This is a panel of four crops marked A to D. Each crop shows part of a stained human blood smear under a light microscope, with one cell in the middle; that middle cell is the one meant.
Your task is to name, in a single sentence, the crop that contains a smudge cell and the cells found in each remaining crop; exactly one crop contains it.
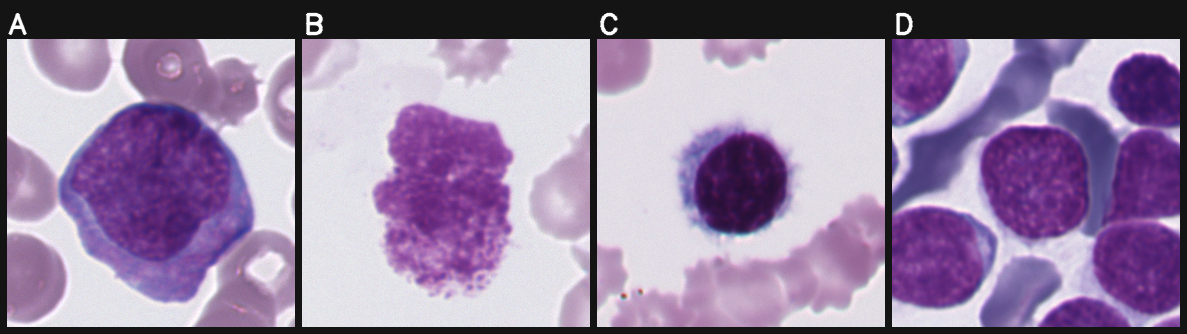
Concerning crop B, the cell shown is a smudge cell, whereas crop A is an atypical promyelocyte, crop C is a hairy cell and crop D is a myeloblast.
